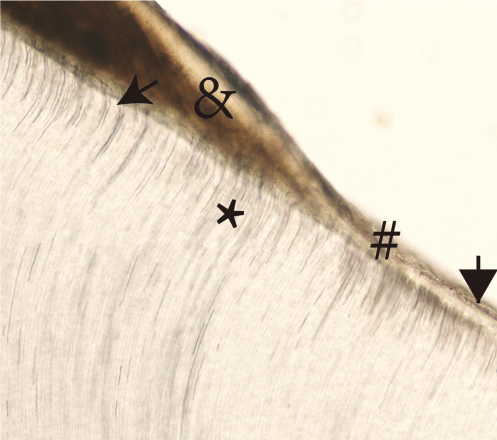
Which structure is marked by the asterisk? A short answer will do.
Dentin tubules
